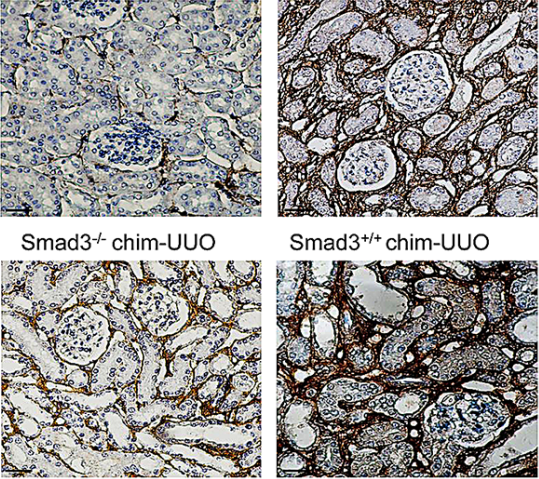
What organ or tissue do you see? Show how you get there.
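Kidney. Round glomerular tufts lie among the structures in several fields. Cross-sectioned tubules lined by cuboidal epithelium fill the fields.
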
